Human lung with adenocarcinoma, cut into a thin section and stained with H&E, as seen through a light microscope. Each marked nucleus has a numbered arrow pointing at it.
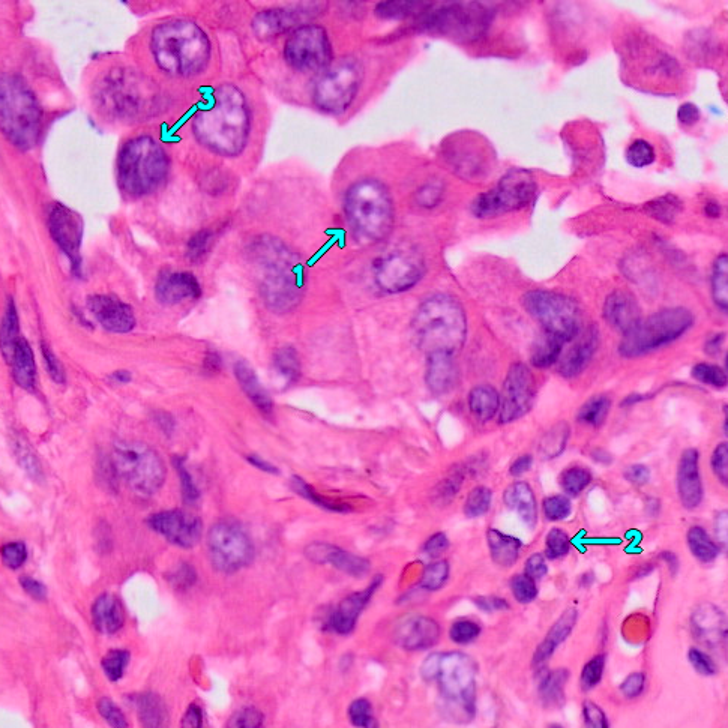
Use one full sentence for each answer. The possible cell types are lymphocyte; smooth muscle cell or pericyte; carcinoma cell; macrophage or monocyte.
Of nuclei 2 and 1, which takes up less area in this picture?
Nucleus 2 is the smaller one; nucleus 1 covers about 4 times its area.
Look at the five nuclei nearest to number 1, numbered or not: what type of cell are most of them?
Of the five nuclei nearest to number 1, most belong to carcinoma cells.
